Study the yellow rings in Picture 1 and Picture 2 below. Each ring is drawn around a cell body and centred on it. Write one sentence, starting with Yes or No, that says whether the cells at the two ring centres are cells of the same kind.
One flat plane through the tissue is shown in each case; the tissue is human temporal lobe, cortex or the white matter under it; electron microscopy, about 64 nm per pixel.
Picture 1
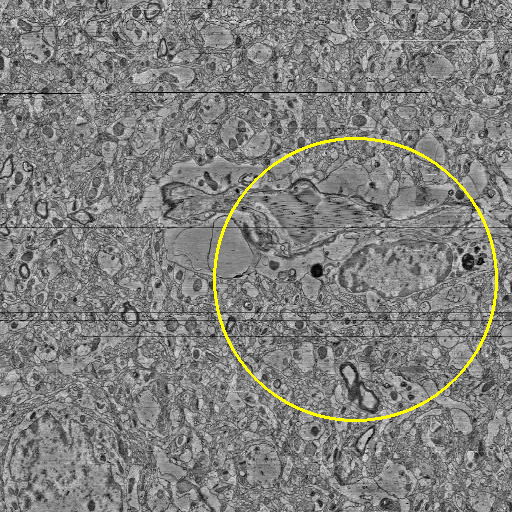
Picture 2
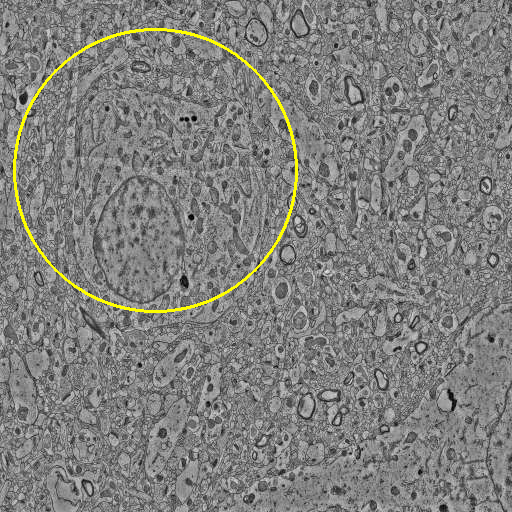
No, the cells at the ring centres are of two kinds.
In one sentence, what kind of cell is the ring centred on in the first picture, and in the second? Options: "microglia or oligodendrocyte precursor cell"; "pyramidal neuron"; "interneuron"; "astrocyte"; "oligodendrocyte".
The cell at the centre of the second ring is an interneuron; the first ring's cell is a microglial cell or oligodendrocyte precursor cell.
